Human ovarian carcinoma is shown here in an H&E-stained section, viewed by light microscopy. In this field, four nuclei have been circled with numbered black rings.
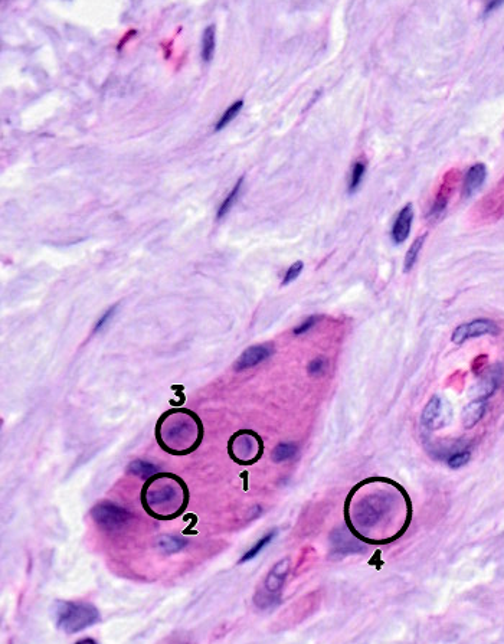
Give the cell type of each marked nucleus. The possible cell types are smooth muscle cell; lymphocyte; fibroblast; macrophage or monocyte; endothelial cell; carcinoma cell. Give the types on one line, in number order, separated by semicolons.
smooth muscle cell; smooth muscle cell; smooth muscle cell; endothelial cell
